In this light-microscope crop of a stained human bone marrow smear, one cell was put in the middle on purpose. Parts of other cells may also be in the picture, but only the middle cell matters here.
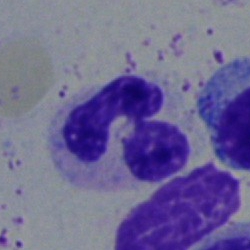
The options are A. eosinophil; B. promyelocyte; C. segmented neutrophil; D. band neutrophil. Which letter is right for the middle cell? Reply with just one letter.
C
